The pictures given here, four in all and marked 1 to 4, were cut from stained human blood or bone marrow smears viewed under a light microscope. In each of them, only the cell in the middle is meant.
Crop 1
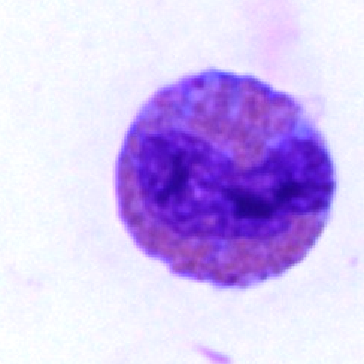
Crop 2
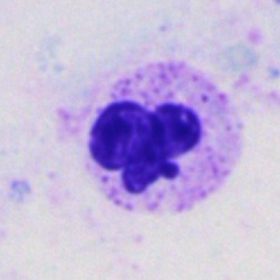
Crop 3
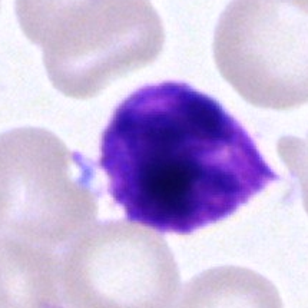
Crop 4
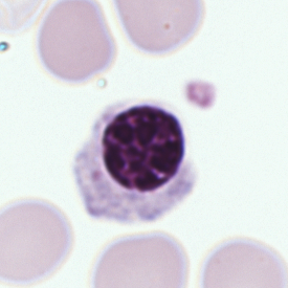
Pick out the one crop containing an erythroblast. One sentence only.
The one crop that shows an erythroblast is crop 4.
